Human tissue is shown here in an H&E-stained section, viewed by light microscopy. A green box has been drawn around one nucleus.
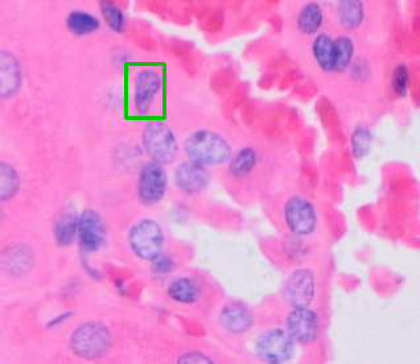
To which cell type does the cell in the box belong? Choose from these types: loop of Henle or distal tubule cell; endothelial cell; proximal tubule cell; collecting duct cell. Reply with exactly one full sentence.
In this tissue section, the cell in the box is to be classed as a collecting duct cell.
